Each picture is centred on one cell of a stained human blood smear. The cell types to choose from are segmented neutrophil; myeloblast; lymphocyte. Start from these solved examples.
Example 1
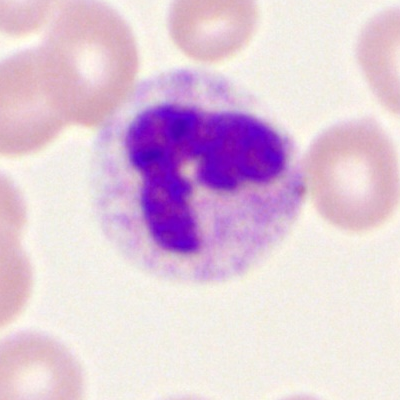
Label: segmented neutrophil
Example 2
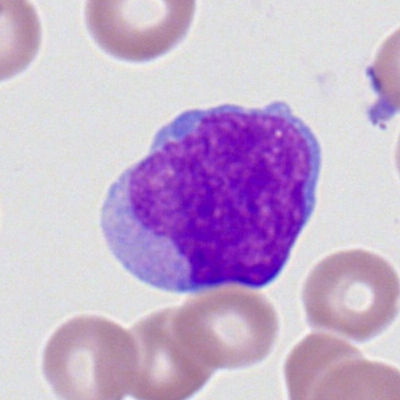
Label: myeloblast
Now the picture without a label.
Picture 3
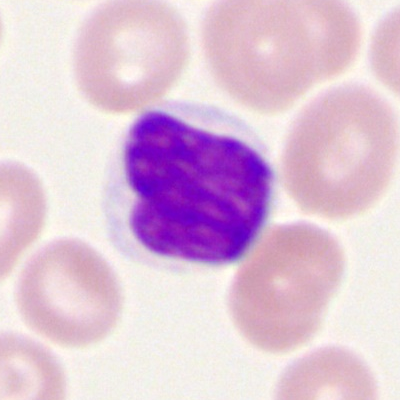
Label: lymphocyte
